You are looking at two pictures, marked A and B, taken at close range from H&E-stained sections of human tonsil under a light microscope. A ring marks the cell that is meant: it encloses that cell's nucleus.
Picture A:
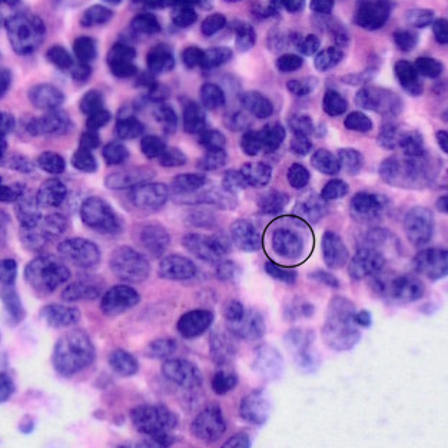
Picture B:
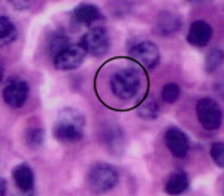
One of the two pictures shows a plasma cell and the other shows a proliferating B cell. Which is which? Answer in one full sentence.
Picture B shows a plasma cell, while picture A shows a proliferating B cell.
